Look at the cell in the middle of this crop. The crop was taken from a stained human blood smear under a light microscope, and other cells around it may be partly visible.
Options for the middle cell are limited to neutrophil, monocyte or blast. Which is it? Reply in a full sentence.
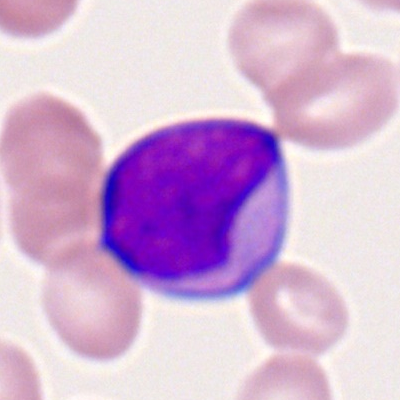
What the crop centres on is a blast.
